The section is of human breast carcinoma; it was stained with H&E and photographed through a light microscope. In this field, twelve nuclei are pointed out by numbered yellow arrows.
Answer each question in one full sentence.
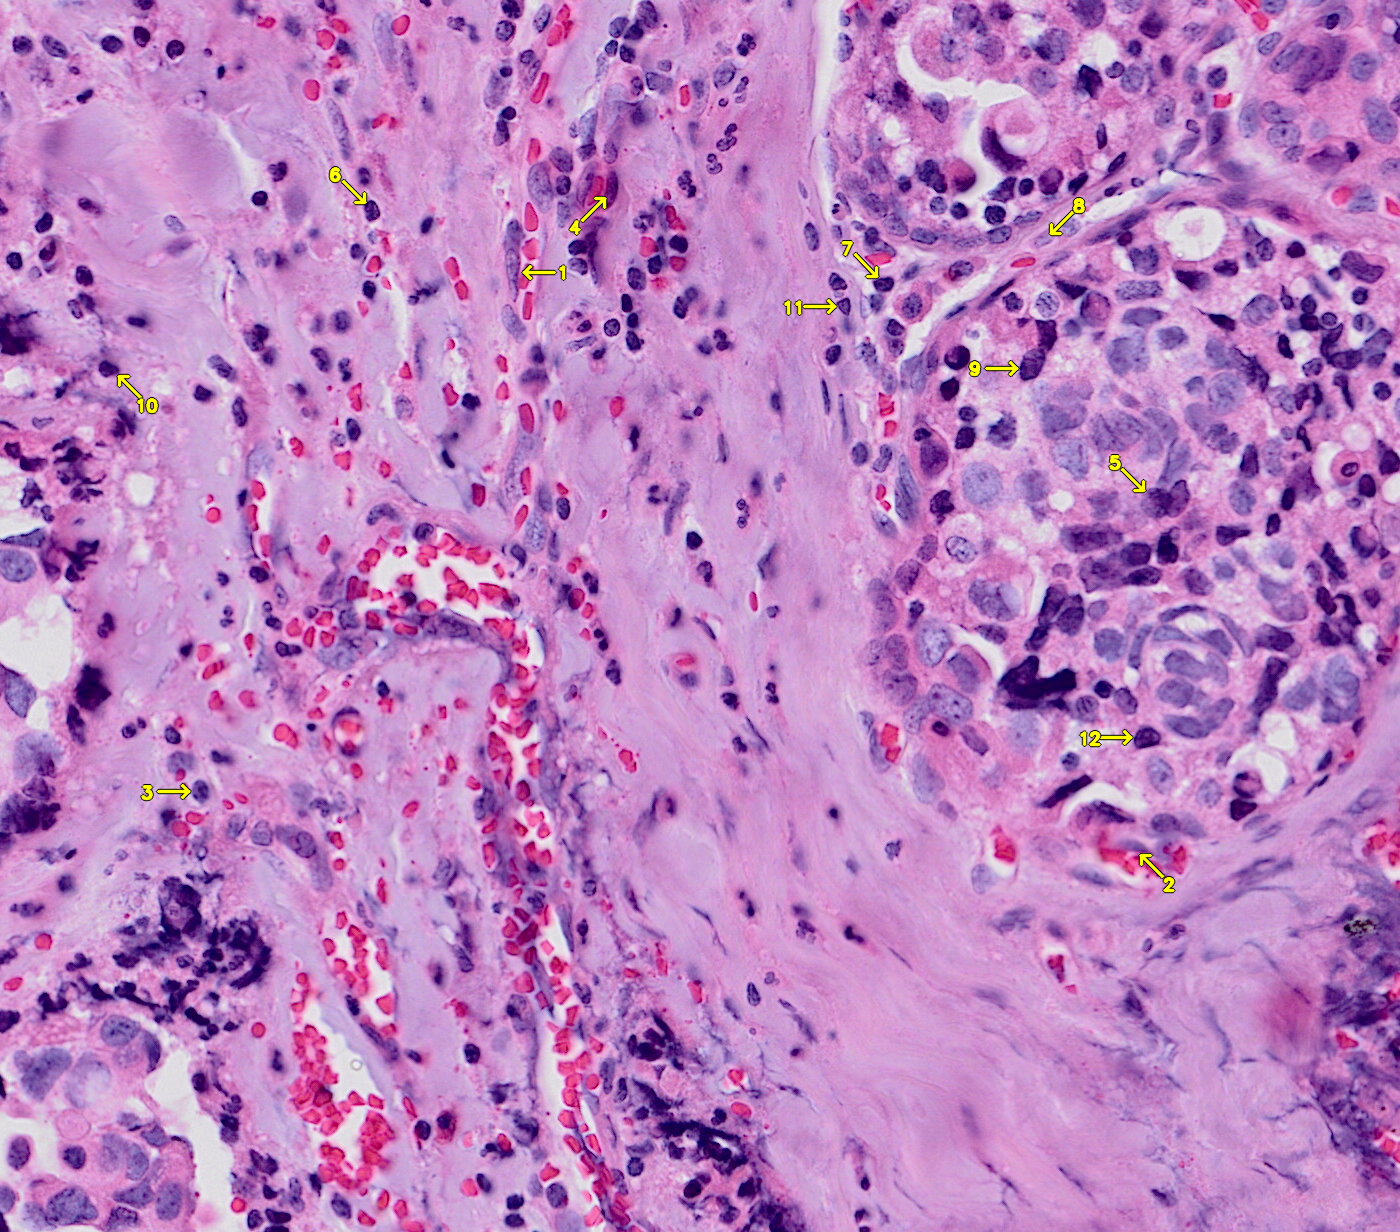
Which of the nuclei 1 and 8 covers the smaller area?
Nucleus 8 covers less area, with nucleus 1 about 3 times as large.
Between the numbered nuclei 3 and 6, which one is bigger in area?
Nucleus 3 is larger, with an area about 1.5 times that of nucleus 6.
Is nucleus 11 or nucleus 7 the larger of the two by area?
Of the two, number 7 is bigger and takes up about 1.5 times the area of number 11.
